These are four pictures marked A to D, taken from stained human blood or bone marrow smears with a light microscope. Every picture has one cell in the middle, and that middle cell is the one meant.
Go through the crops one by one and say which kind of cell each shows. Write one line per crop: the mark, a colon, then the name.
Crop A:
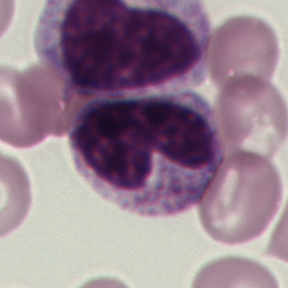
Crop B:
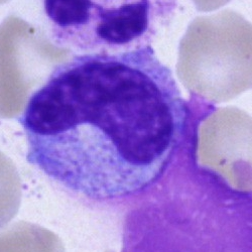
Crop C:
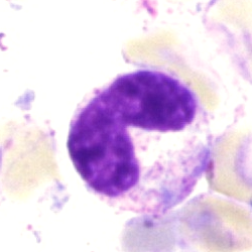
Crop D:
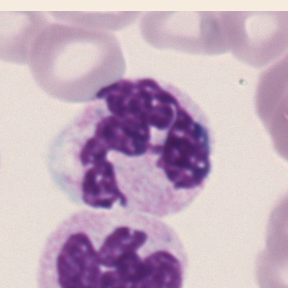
A: band neutrophil
B: metamyelocyte
C: band neutrophil
D: segmented neutrophil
